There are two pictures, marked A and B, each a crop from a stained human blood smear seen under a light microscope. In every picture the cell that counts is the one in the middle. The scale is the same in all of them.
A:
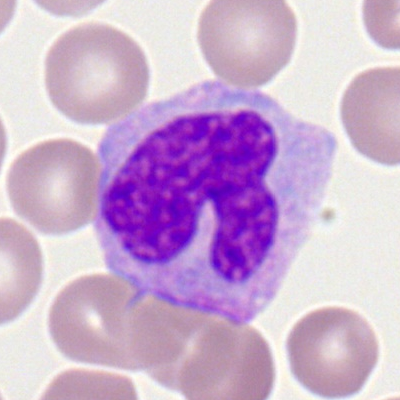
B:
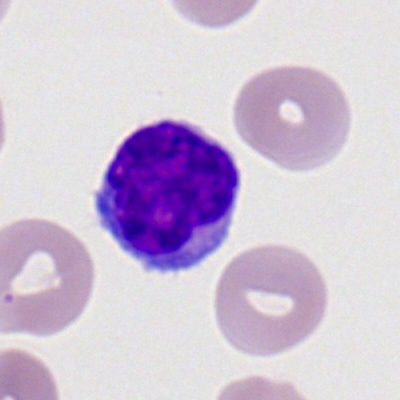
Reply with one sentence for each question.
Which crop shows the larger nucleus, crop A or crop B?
The nucleus in crop A is larger, with about 1.5 times the area of the one in crop B.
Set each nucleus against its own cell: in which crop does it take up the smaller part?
In crop A the nucleus takes up the smaller part of its cell.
